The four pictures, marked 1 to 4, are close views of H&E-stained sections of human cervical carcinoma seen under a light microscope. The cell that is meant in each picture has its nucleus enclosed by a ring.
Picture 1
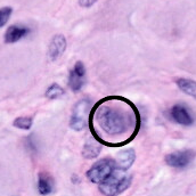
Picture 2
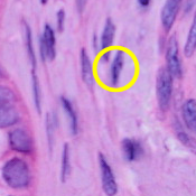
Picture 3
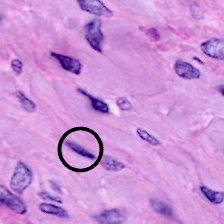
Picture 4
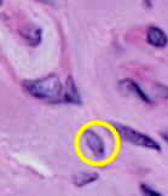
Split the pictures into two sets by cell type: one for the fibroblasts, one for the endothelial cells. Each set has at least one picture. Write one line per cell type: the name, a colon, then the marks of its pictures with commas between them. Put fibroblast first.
fibroblast: 2, 3, 4
endothelial cell: 1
